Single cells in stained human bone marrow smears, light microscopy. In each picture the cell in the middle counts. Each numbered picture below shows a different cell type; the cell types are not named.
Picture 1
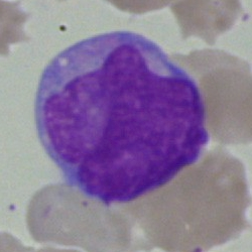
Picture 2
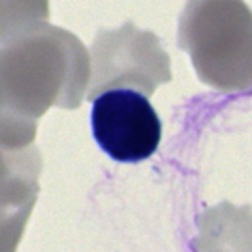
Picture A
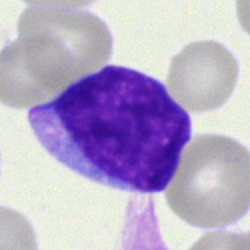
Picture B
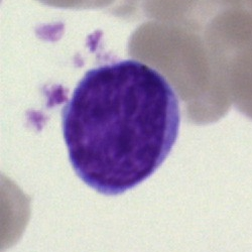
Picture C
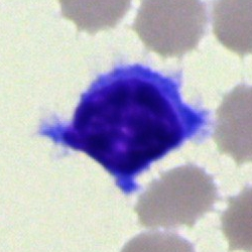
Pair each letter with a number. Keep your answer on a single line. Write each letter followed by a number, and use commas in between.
A 1, B 2, C 2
